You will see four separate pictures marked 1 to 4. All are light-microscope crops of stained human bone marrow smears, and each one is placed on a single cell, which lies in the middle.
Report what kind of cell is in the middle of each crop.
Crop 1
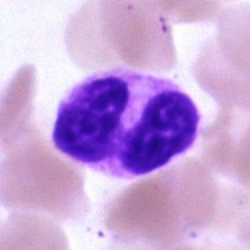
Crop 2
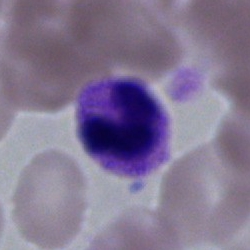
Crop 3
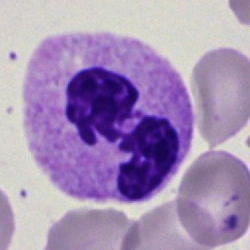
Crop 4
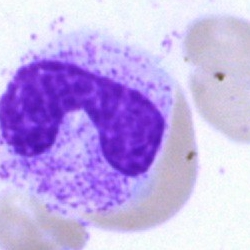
1: segmented neutrophil
2: segmented neutrophil
3: segmented neutrophil
4: band neutrophil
